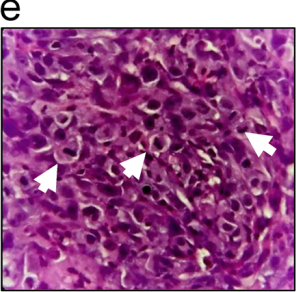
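Densely cellular tumor tissue in which purple-stained nuclei are crowded closely together with little pink stroma between them. The nuclei vary in size and shape, from round to oval and elongated. Many cells are rounded and surrounded by a pale, clear halo. Several cells show dark, condensed chromatin consistent with mitotic figures. The arrangement is sheet-like, without clear orientation.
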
